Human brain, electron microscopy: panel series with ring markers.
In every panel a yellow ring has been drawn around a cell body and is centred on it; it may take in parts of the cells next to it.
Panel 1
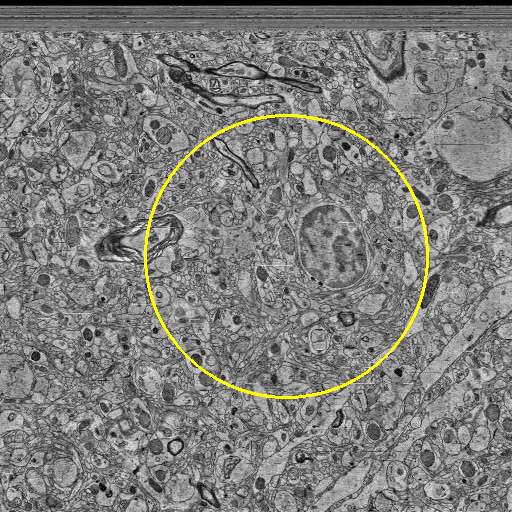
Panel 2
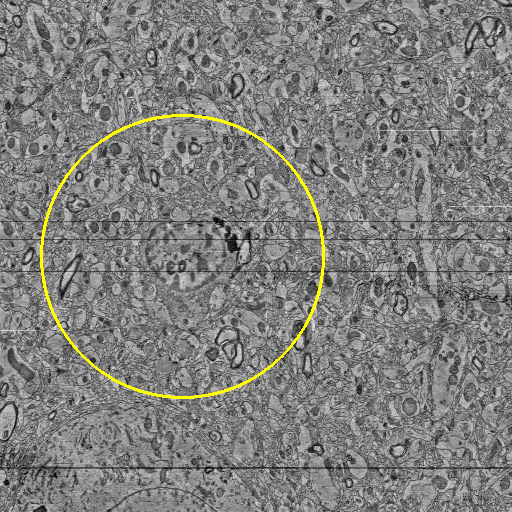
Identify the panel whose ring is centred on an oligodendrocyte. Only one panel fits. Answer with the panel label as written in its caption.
Panel 2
